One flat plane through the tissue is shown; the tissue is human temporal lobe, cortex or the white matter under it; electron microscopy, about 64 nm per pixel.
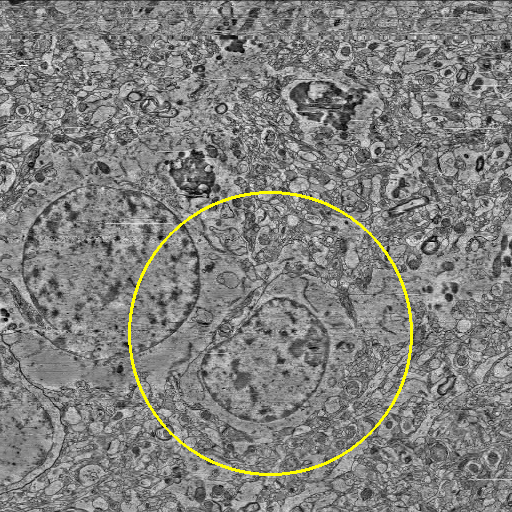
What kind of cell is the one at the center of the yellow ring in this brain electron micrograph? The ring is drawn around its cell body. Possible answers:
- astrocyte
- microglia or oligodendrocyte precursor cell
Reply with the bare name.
astrocyte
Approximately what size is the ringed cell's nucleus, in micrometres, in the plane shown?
The nucleus works out at approximately 9 by 7 micrometres in this plane.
